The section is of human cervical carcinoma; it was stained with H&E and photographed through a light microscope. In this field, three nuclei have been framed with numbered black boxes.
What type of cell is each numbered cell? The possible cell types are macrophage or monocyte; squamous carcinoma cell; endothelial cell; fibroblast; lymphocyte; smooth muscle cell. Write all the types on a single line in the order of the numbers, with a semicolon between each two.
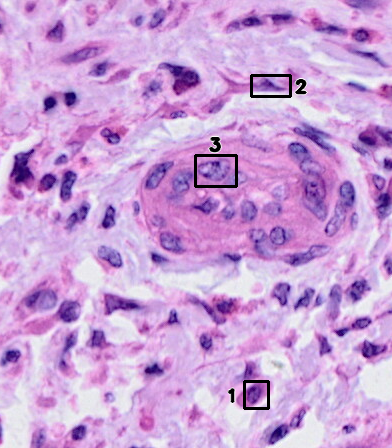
macrophage or monocyte; fibroblast; smooth muscle cell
